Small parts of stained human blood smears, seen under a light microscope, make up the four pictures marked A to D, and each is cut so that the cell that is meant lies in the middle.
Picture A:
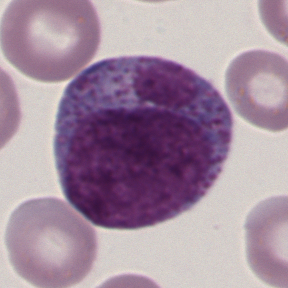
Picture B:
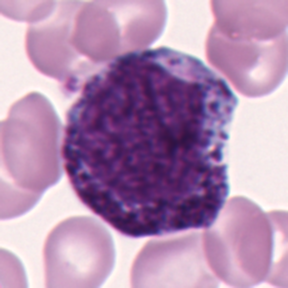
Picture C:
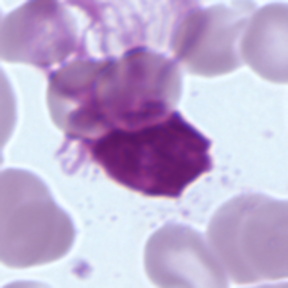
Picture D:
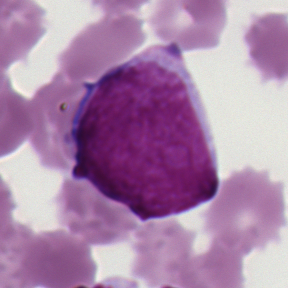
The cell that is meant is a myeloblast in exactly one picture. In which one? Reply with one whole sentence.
Picture D is the one that shows the myeloblast.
